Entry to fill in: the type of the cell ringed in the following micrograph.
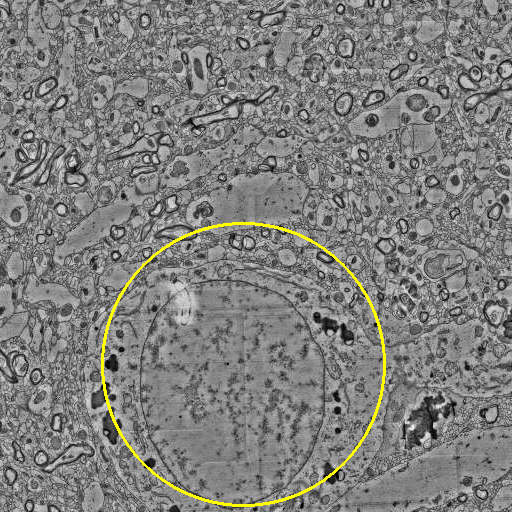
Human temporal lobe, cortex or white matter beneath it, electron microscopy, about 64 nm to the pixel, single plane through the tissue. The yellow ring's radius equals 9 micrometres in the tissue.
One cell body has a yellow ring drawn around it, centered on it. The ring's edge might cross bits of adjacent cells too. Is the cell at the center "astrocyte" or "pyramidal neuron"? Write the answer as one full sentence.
This entry names a pyramidal neuron as the cell whose body lies at the ring's center.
